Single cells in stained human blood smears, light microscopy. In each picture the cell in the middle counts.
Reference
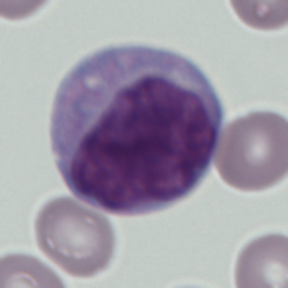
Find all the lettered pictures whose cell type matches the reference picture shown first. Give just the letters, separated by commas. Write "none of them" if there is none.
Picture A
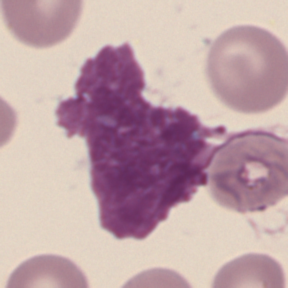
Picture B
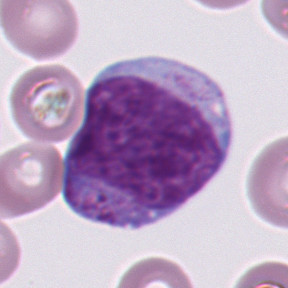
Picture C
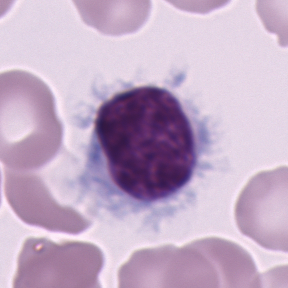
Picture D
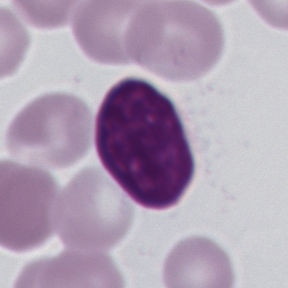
B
